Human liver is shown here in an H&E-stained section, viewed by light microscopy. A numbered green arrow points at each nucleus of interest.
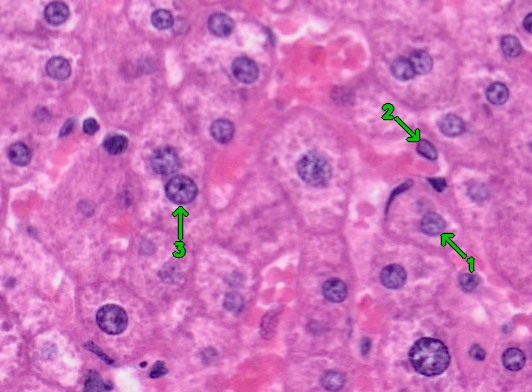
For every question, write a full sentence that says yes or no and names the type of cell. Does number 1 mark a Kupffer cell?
No, cell 1 is classified as a hepatocyte rather than a Kupffer cell.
